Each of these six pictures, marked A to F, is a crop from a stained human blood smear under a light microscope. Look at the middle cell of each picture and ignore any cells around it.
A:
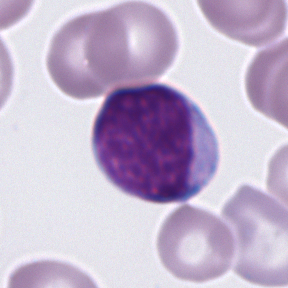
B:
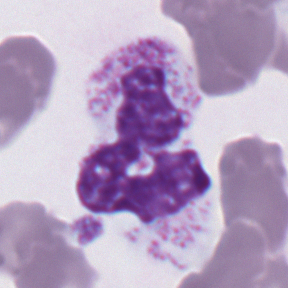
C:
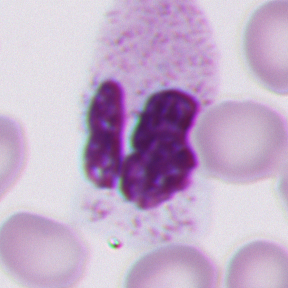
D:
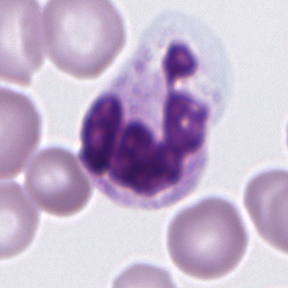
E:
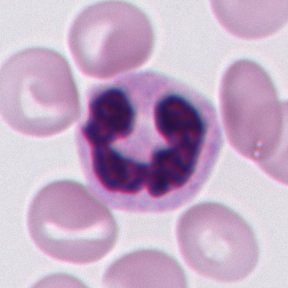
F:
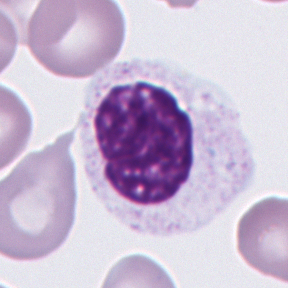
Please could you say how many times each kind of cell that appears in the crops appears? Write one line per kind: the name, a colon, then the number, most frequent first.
neutrophil: 5
blast: 1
